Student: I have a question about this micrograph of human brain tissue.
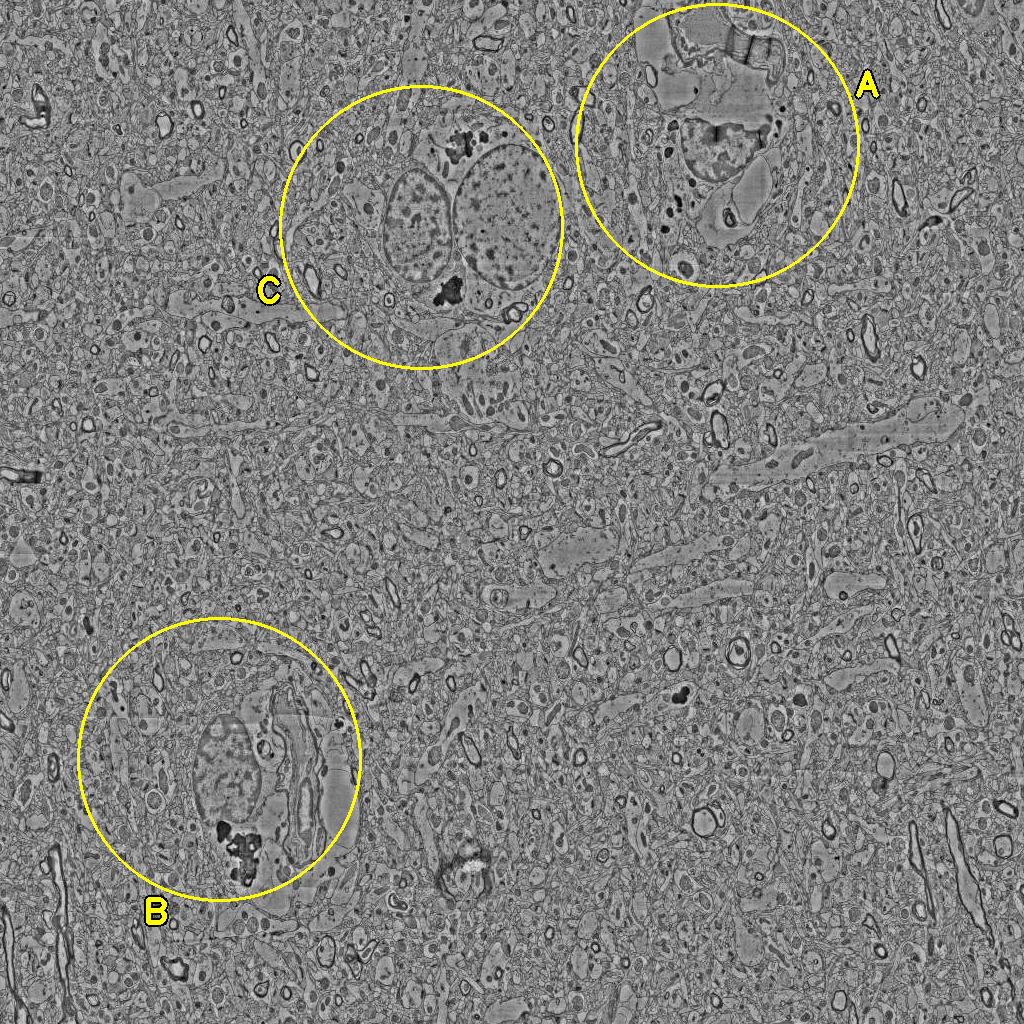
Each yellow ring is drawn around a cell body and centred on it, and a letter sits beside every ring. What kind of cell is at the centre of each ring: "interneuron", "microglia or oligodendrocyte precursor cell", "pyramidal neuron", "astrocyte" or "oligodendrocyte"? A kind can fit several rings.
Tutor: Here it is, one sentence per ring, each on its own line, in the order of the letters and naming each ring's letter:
For ring A, the cell at the centre is a microglial cell or oligodendrocyte precursor cell.
For ring B, the cell at the centre is an oligodendrocyte.
For ring C, the cell at the centre is an oligodendrocyte.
